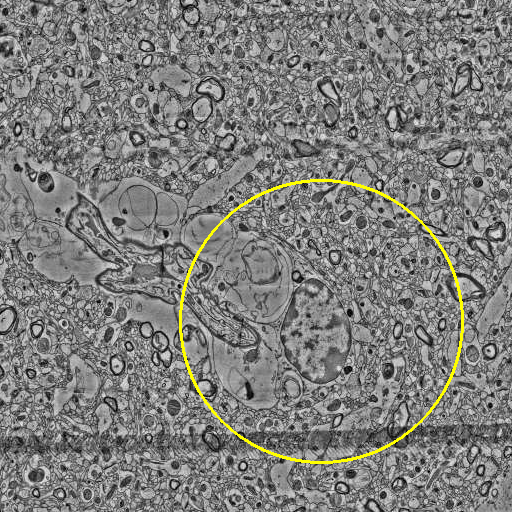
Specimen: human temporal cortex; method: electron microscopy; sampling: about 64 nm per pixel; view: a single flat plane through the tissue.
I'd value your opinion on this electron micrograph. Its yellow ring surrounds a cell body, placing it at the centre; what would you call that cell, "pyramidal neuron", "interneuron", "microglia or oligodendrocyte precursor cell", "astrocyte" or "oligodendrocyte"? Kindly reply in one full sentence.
It is a microglial cell or oligodendrocyte precursor cell that sits centred within the yellow ring in this micrograph.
